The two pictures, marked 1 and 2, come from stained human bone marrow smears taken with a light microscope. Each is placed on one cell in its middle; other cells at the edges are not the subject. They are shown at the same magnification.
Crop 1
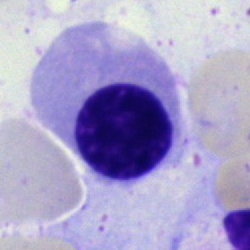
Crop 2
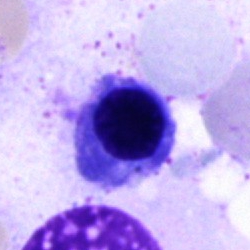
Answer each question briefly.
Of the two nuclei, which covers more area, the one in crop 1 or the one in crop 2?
1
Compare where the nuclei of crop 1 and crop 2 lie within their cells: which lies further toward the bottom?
1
